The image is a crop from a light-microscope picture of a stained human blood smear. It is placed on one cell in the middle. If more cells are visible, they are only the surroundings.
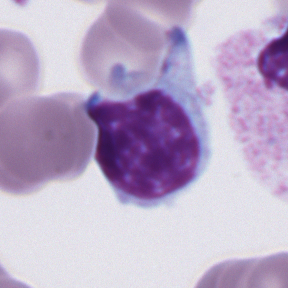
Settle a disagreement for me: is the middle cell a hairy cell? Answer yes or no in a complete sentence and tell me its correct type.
No, the central cell in this crop is a typical lymphocyte and not a hairy cell.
